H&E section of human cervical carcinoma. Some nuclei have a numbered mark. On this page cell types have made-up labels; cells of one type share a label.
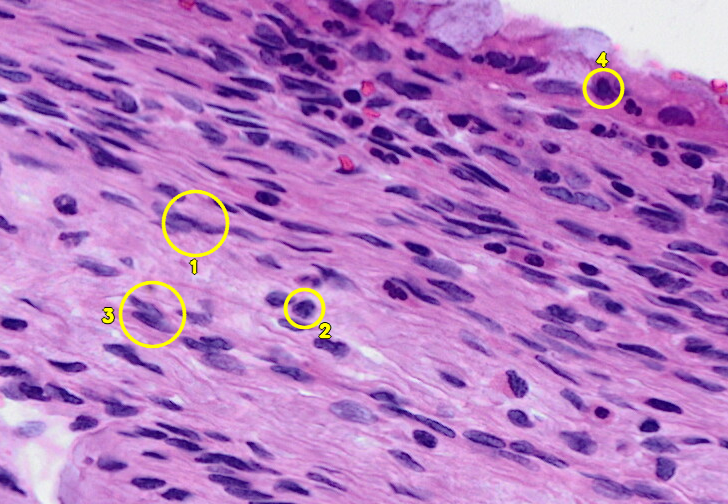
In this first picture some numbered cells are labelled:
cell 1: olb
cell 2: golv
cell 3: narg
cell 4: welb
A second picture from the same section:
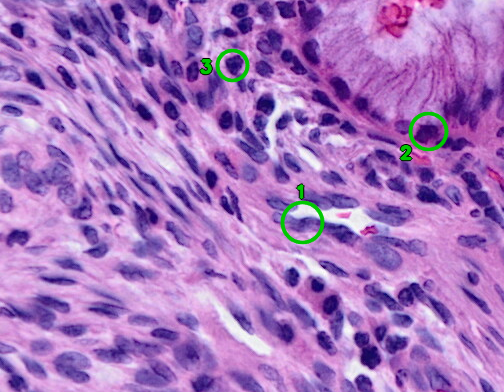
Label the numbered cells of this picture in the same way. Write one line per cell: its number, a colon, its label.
1: narg
2: welb
3: golv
